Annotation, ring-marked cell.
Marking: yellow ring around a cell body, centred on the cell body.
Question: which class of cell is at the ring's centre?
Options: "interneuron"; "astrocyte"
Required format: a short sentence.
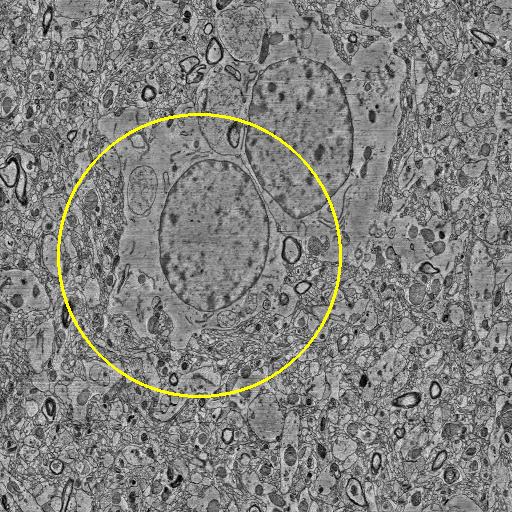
At the ring's centre is an astrocyte.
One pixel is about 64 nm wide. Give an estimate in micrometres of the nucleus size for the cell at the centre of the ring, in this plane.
Approximately 10 x 7 micrometres in this plane.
